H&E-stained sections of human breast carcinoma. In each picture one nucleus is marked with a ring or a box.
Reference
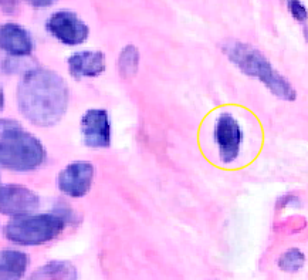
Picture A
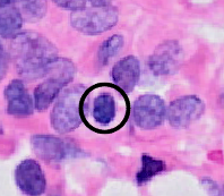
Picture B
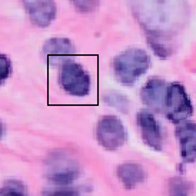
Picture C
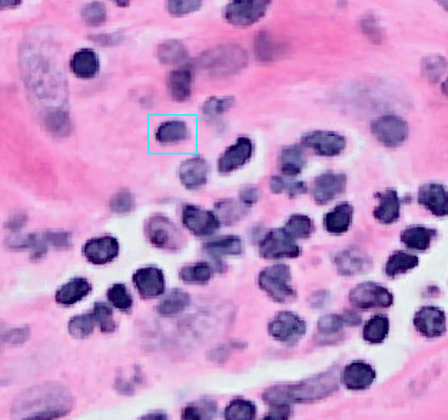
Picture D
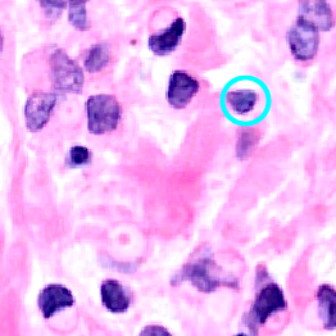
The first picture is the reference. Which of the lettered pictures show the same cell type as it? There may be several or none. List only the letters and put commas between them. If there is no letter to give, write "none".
A, B, C, D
